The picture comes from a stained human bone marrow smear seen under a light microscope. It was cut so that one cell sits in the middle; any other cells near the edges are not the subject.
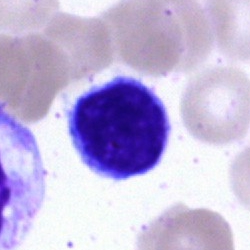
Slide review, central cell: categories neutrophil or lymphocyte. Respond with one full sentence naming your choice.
This particular crop is centered on a lymphocyte.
